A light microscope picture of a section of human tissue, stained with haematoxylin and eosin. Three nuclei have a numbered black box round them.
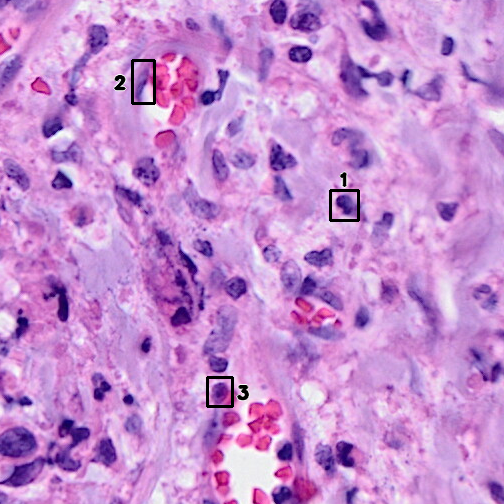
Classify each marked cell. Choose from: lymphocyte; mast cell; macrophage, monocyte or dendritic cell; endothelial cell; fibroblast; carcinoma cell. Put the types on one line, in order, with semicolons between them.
lymphocyte; endothelial cell; endothelial cell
